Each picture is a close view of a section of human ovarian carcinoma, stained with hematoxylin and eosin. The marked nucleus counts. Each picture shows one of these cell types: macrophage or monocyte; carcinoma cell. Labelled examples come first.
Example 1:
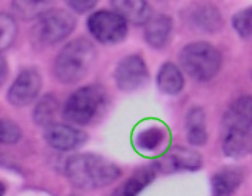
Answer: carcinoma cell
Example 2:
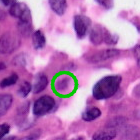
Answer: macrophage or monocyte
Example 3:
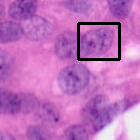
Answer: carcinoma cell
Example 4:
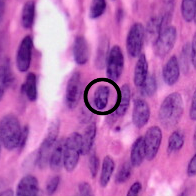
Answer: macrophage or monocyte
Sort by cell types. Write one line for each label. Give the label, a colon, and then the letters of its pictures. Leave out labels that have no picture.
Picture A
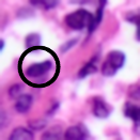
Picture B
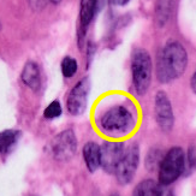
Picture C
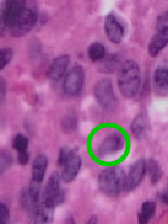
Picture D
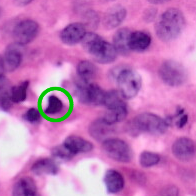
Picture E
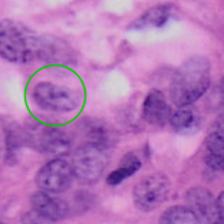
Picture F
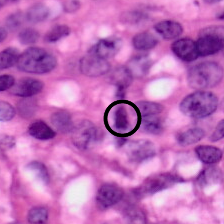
macrophage or monocyte: B, E
carcinoma cell: A, C, D, F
